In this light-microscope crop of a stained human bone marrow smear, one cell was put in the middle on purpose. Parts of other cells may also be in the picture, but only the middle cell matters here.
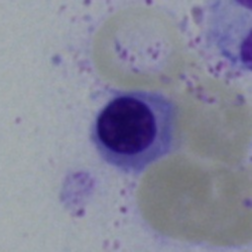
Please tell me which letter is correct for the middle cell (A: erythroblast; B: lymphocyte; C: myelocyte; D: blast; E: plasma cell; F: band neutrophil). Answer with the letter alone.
A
